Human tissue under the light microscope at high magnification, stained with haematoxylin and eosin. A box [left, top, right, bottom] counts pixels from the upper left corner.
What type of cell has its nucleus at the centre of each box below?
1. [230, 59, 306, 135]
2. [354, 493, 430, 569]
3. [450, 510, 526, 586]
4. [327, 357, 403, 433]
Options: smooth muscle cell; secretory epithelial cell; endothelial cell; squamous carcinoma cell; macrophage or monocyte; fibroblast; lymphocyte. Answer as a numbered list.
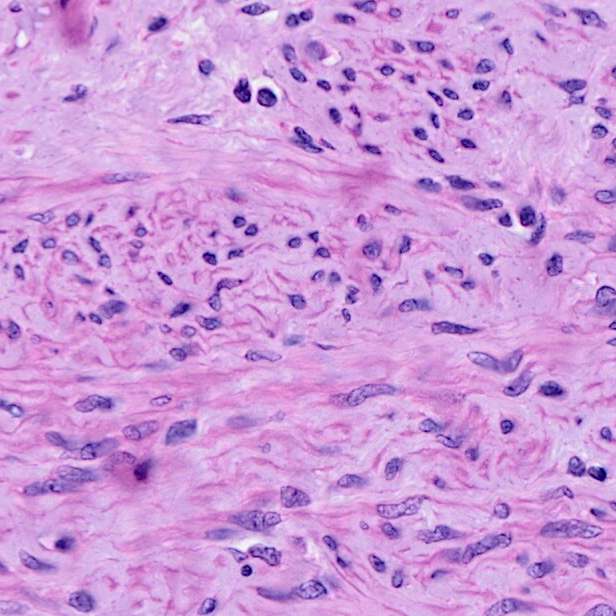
1. lymphocyte
2. smooth muscle cell
3. smooth muscle cell
4. smooth muscle cell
